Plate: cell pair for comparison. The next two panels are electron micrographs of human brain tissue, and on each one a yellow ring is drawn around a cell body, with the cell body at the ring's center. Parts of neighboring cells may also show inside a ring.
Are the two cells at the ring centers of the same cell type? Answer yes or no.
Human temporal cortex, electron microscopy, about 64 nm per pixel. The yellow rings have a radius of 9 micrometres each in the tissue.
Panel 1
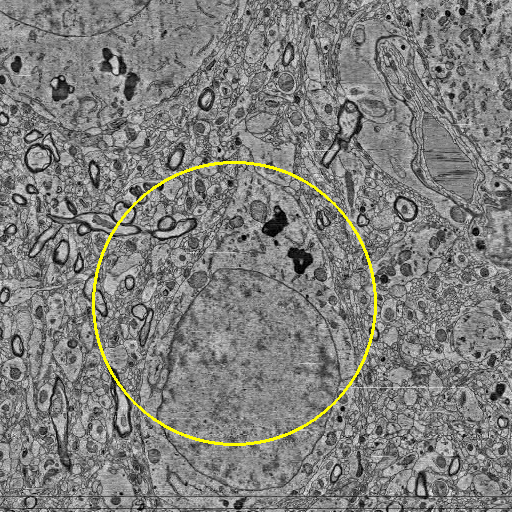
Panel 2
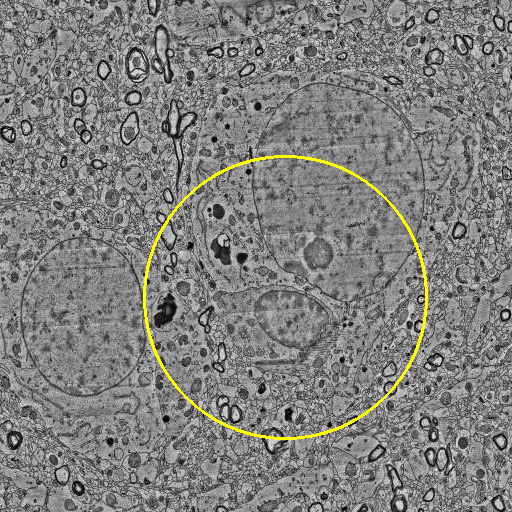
no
